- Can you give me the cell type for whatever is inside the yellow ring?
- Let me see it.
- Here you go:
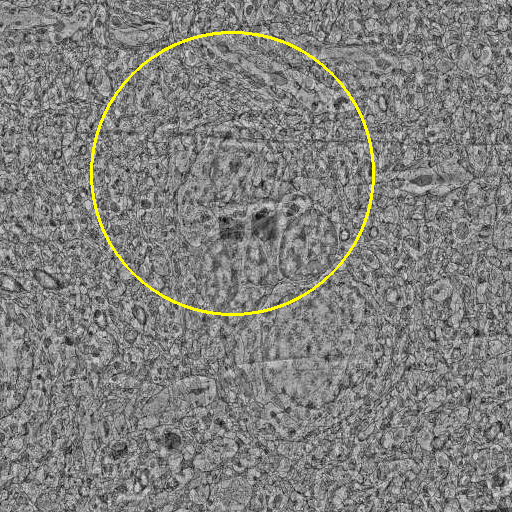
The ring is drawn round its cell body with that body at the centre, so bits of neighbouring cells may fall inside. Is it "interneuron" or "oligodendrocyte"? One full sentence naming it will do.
The cell body in the middle of the ring in this picture belongs to an interneuron.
